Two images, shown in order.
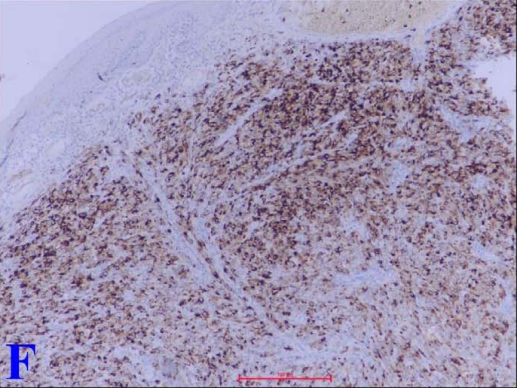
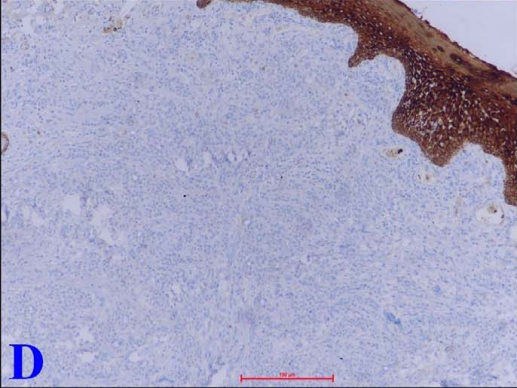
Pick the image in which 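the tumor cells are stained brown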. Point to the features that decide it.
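Second image: the tumor mass is blue only, brown staining is confined to the surface epithelium. First image: the tumor cell sheets show dense brown staining throughout.
The first image.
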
